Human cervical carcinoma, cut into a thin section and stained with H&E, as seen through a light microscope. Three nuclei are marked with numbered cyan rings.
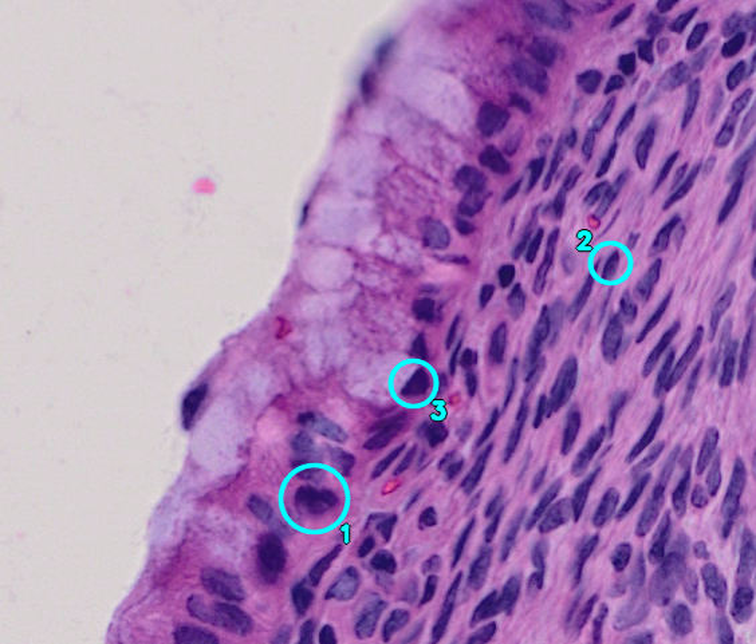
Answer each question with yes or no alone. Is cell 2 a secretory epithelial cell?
no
